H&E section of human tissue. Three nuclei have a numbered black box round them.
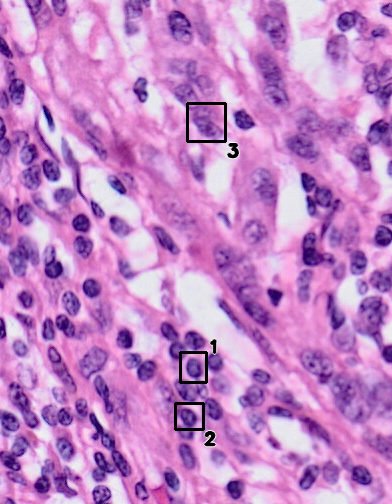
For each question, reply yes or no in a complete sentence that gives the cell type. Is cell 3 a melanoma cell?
Yes, the cell that number 3 points to is a melanoma cell.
